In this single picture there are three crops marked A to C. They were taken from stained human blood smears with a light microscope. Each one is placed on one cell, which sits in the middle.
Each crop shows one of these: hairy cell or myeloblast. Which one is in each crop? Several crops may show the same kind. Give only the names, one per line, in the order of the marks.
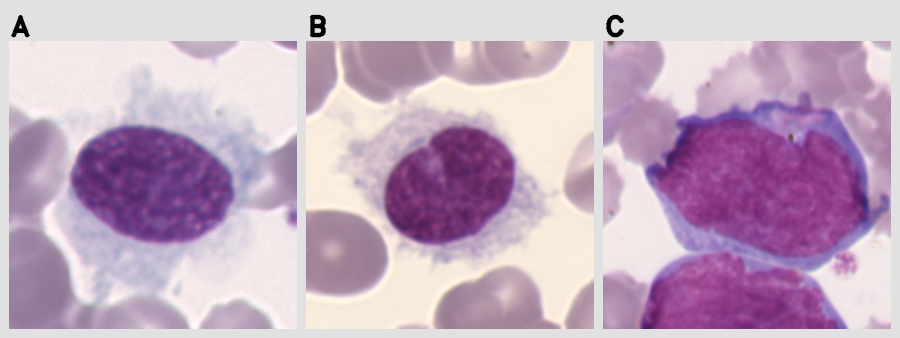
hairy cell
hairy cell
myeloblast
